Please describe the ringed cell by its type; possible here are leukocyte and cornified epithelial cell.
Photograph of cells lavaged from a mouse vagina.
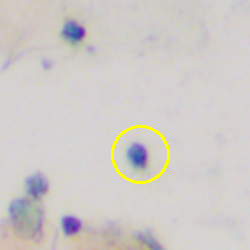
The yellow ring marks a leukocyte.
